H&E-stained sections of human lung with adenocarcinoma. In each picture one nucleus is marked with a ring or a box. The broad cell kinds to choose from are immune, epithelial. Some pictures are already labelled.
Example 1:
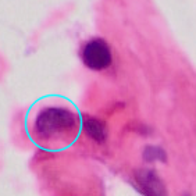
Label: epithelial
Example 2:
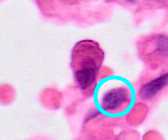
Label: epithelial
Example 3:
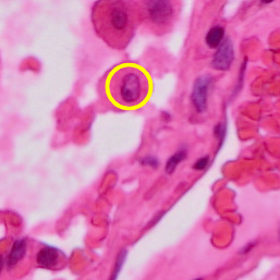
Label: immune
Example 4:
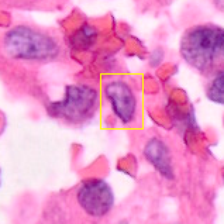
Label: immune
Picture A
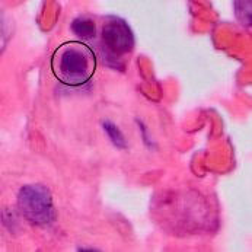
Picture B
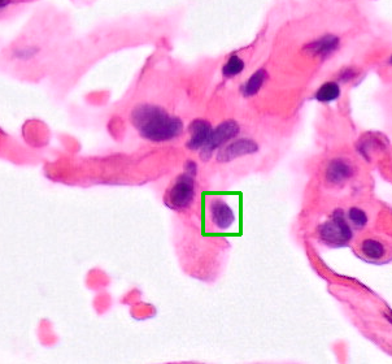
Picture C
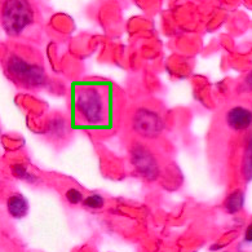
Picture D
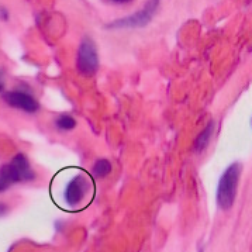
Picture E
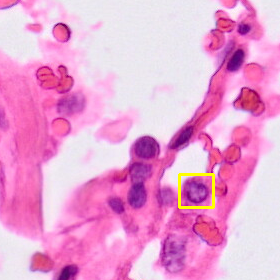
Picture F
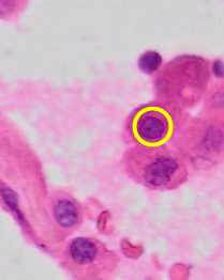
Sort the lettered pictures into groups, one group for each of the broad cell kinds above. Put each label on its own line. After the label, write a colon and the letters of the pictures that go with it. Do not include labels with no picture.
immune: A, C, E, F
epithelial: B, D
